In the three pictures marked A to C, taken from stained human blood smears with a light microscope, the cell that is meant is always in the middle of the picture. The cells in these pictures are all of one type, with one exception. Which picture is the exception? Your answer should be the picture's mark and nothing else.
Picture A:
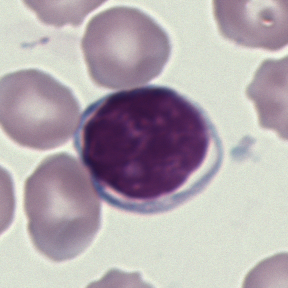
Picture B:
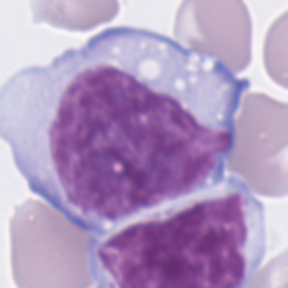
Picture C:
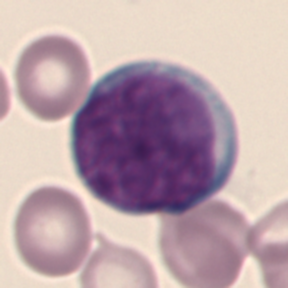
A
